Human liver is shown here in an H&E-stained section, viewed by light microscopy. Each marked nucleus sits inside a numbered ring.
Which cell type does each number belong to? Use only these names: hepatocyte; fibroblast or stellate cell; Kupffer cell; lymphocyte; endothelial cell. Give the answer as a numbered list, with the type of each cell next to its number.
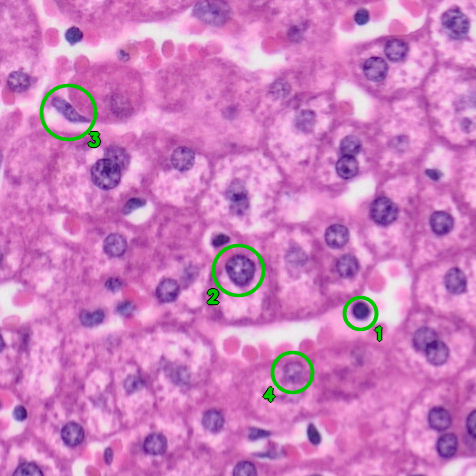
1. lymphocyte
2. hepatocyte
3. Kupffer cell
4. hepatocyte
